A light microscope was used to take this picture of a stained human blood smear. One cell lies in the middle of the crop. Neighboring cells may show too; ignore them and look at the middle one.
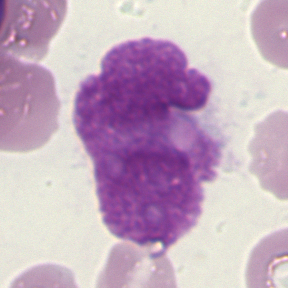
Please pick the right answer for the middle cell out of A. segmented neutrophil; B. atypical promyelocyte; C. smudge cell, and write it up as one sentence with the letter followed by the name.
Here the right option is C, as the cell in the middle is a smudge cell.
